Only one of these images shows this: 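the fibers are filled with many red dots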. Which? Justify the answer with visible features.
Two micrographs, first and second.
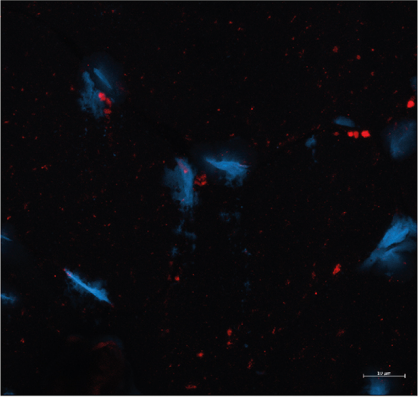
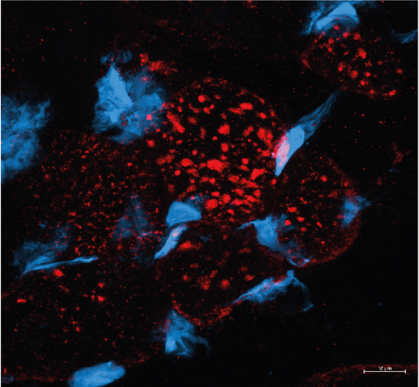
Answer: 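Second image: fibers densely packed with bright red dots. First image: only a few sparse red dots on a dark background. So: the second image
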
